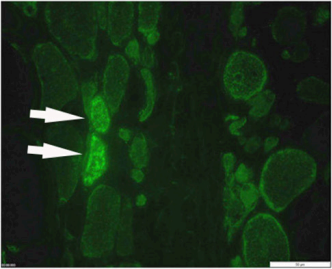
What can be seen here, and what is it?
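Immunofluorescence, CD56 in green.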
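This cross-section of skeletal muscle shows fibers of very different sizes, with two small regenerating muscle fibers marked by the arrows. These two are smaller than most of their neighbours and glow a stronger, grainier green, while the larger fibers around them are only moderately green.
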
